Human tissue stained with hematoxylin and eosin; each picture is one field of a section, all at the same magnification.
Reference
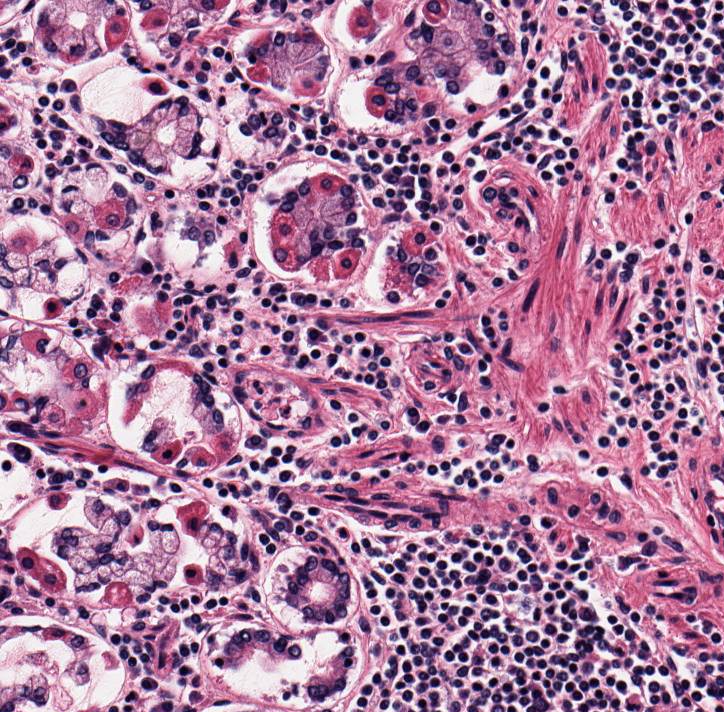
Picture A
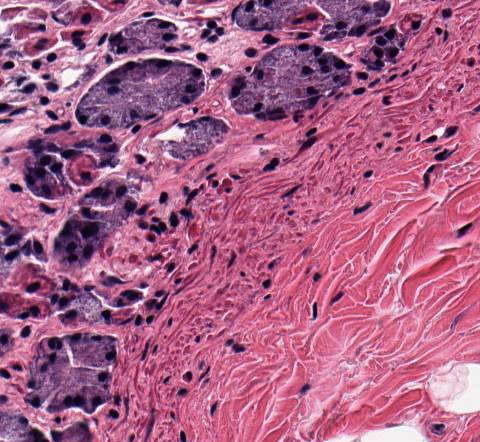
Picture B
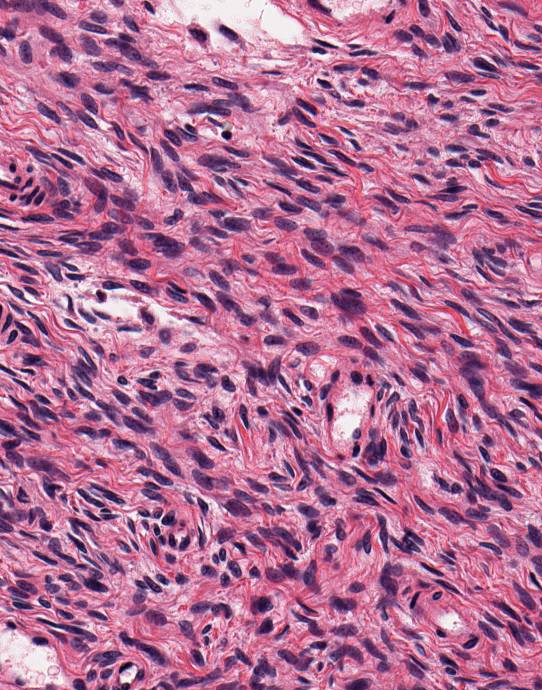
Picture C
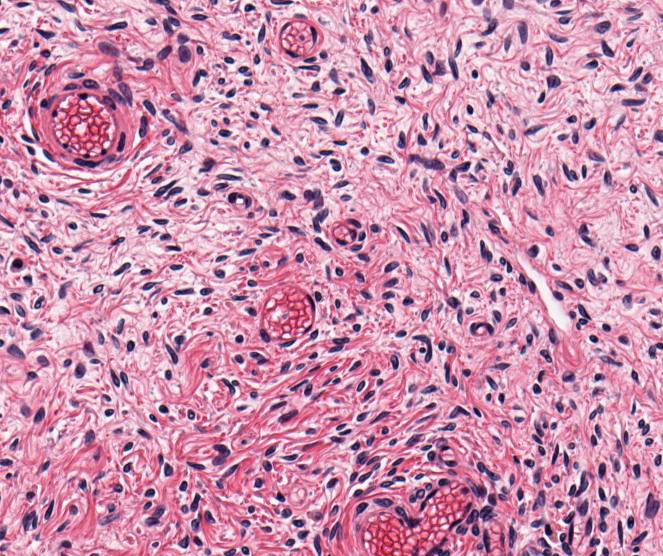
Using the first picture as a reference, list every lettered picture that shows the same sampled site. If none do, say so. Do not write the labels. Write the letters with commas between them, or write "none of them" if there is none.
A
